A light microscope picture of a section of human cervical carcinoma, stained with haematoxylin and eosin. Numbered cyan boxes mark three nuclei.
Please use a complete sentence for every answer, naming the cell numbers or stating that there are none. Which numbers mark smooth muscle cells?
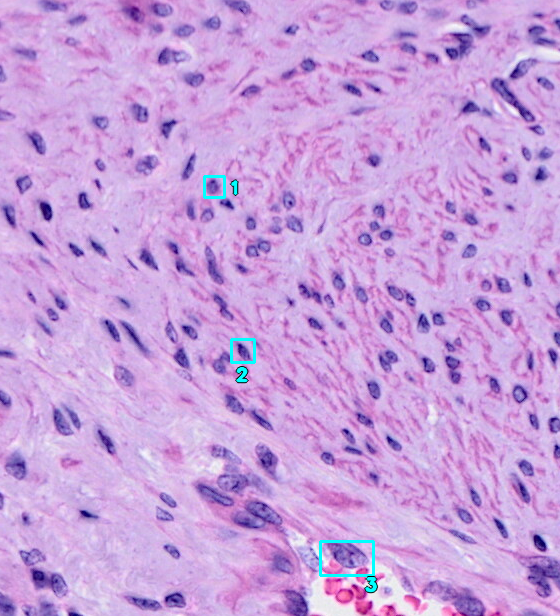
The cells referred to by numbers 1 and 2 are smooth muscle cells.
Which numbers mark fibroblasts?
Of all the numbered cells, not one is counted among the fibroblasts.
